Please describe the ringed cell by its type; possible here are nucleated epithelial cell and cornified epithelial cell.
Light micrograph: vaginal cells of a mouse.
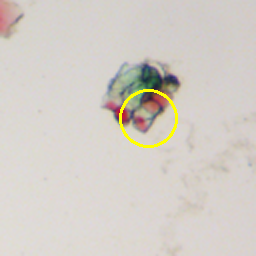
The yellow ring marks a nucleated epithelial cell.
